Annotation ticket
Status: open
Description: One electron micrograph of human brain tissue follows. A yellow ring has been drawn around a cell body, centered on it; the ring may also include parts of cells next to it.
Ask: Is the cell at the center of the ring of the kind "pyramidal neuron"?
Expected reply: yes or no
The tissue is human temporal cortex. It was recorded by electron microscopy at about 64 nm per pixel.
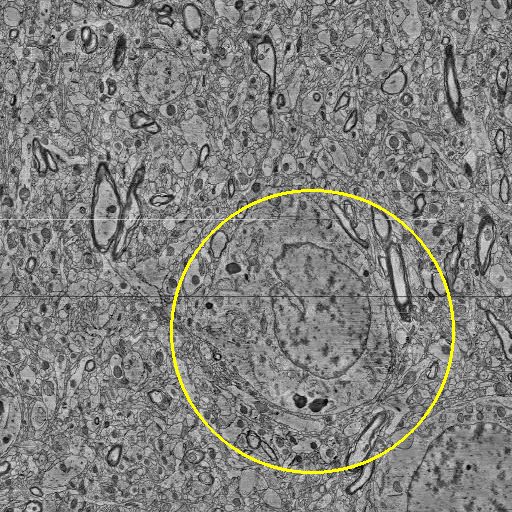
yes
